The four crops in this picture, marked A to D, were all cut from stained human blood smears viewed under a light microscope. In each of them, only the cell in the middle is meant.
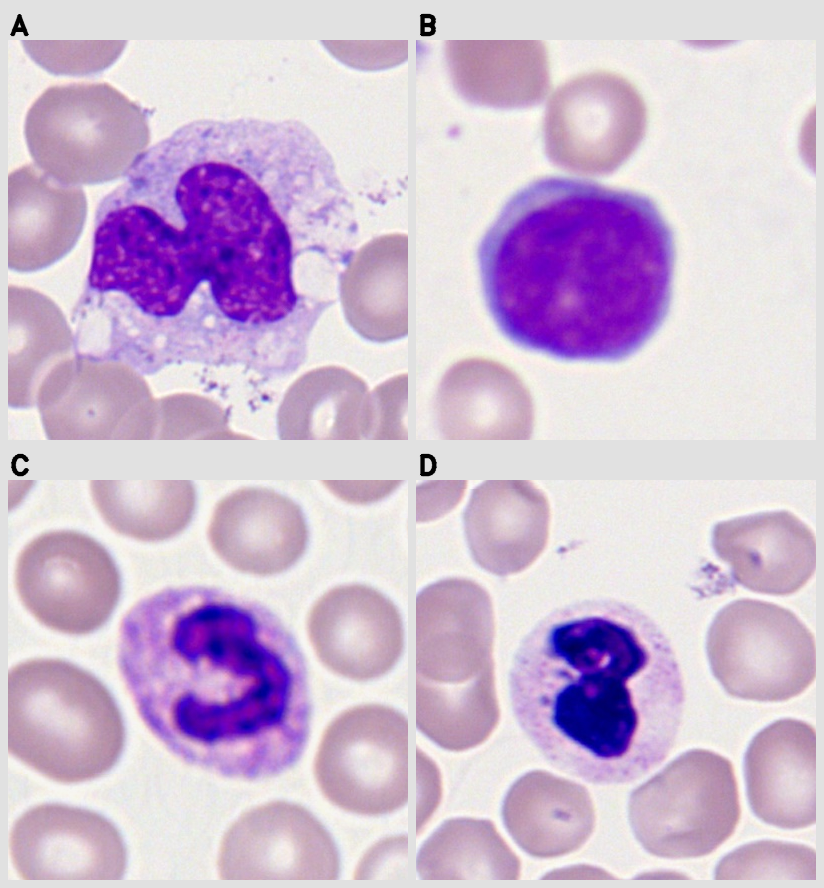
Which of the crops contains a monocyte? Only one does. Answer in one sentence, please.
The crop with a monocyte in it is crop A.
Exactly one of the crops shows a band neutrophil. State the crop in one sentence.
Among these crops, crop C holds a band neutrophil.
